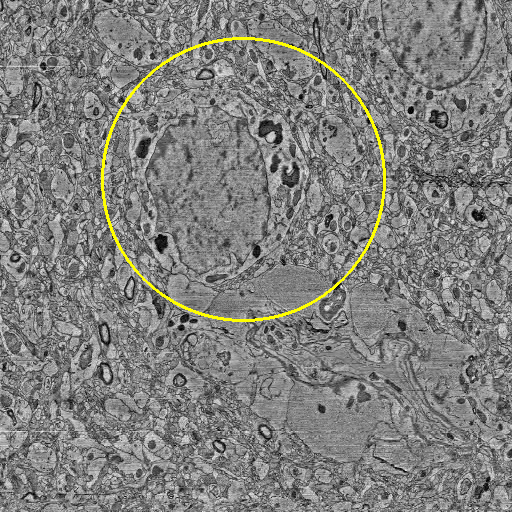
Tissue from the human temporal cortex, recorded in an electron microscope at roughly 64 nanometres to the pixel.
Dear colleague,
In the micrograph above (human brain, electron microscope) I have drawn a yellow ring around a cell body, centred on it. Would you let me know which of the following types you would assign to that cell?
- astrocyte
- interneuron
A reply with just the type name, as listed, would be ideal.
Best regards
interneuron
